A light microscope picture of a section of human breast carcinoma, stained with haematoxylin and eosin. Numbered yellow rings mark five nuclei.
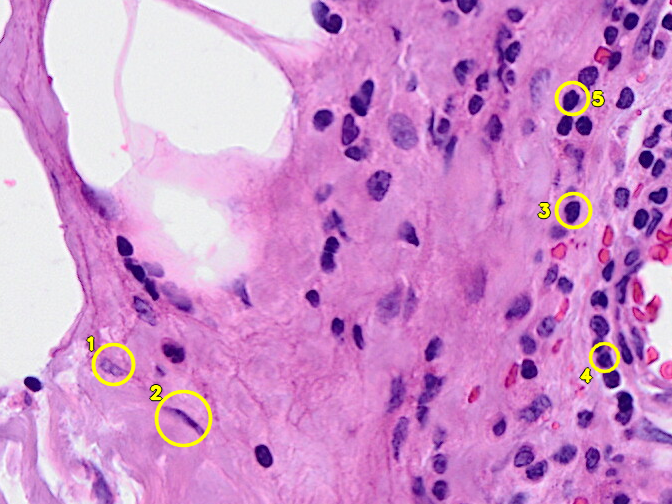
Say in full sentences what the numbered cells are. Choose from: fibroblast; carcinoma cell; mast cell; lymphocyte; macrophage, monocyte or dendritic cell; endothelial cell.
Cells 1 and 2 are fibroblasts. Cells 3, 4 and 5 are lymphocytes.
